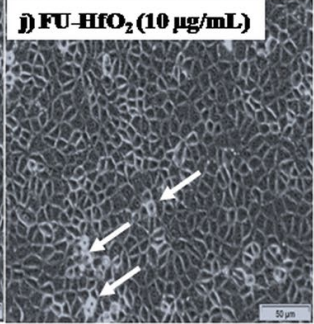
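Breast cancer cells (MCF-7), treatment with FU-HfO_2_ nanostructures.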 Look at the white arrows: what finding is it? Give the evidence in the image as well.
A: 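The surrounding cells form a flat polygonal monolayer.
Conclusion: cell death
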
